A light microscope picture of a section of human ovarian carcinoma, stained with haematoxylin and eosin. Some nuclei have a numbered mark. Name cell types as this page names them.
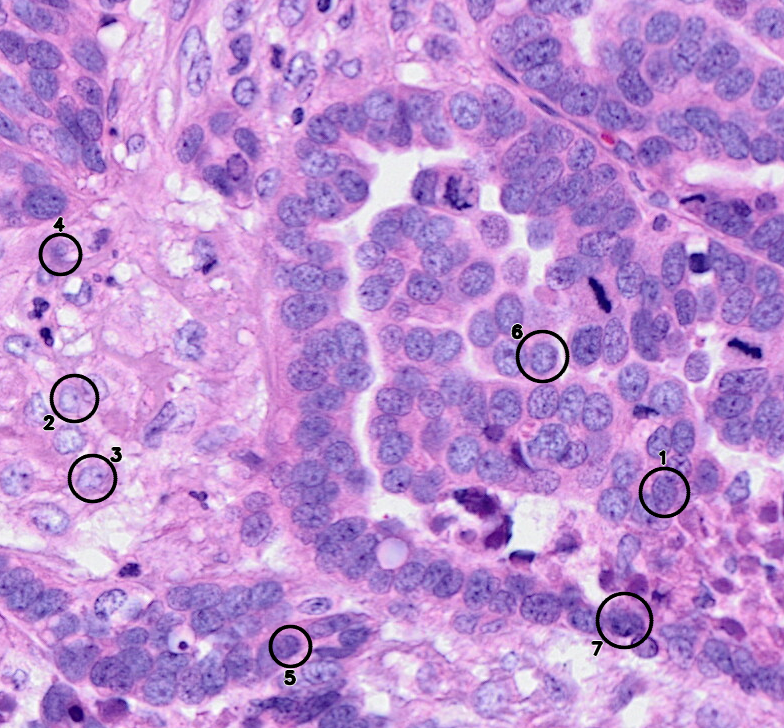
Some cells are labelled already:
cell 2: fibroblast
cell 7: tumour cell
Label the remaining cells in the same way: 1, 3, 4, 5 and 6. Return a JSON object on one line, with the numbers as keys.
{"1": "tumour cell", "3": "fibroblast", "4": "fibroblast", "5": "tumour cell", "6": "tumour cell"}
